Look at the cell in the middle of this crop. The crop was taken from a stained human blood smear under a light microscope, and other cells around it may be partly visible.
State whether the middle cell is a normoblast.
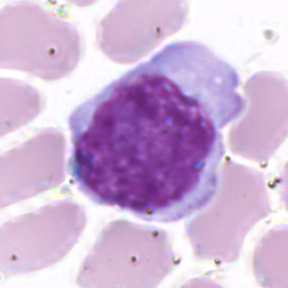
no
